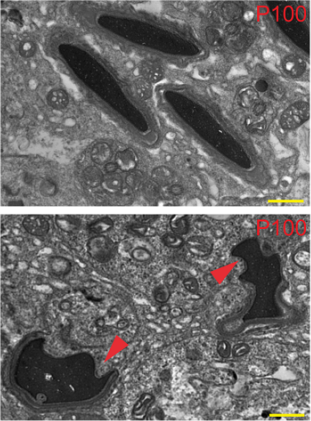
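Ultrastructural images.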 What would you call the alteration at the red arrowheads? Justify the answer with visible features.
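The arrowheads in the lower image point to dense black heads that are bent and irregular. The heads in the upper image are smooth and elongated. So: abnormal head morphologies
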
